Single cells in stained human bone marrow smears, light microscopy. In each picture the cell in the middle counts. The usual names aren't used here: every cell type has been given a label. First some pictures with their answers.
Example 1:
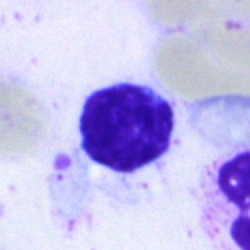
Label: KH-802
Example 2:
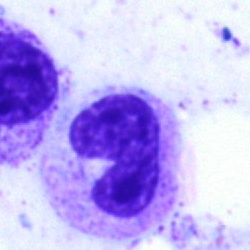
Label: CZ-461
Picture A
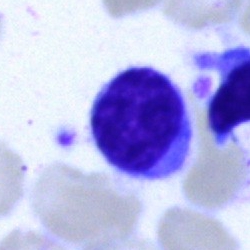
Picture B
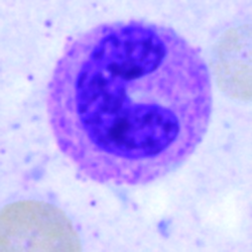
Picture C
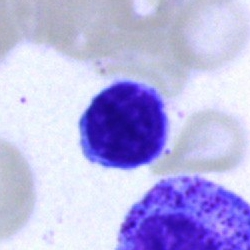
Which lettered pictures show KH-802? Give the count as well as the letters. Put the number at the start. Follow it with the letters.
2, namely A, C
